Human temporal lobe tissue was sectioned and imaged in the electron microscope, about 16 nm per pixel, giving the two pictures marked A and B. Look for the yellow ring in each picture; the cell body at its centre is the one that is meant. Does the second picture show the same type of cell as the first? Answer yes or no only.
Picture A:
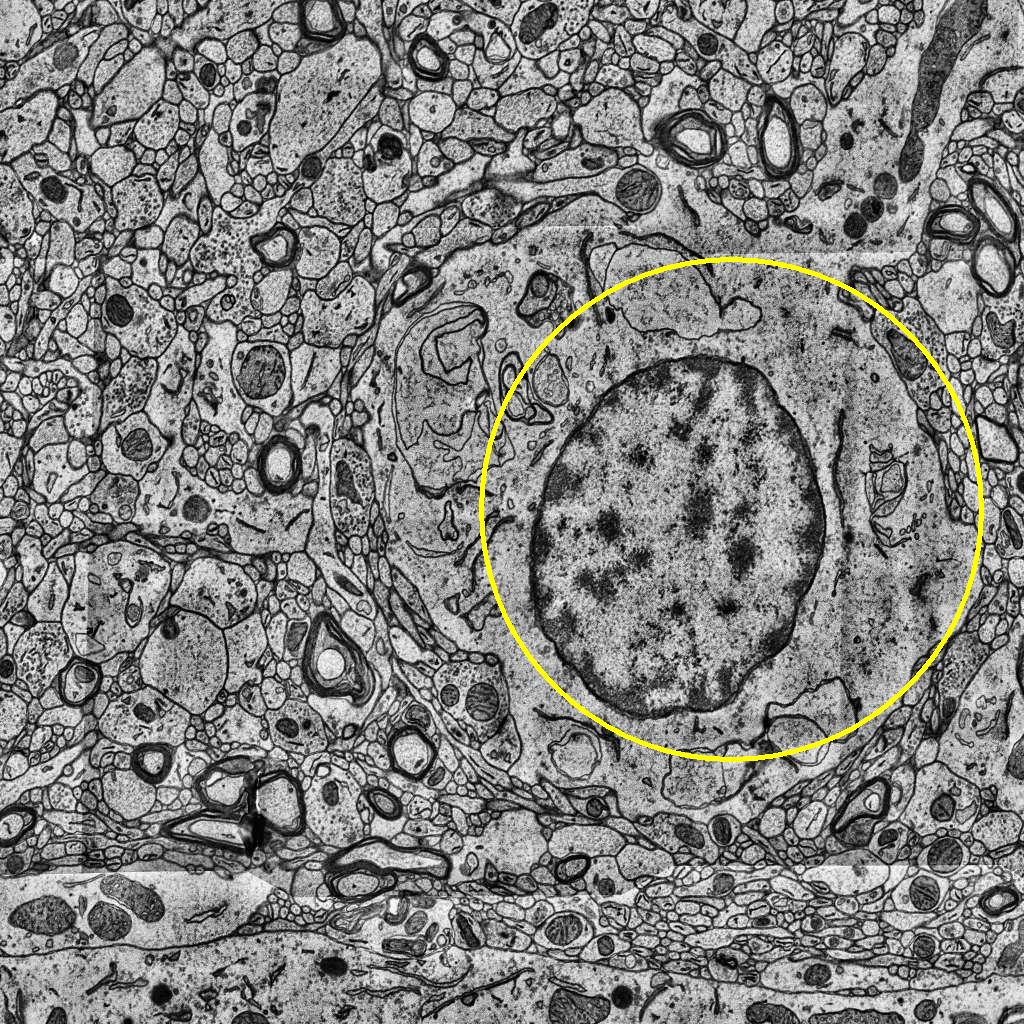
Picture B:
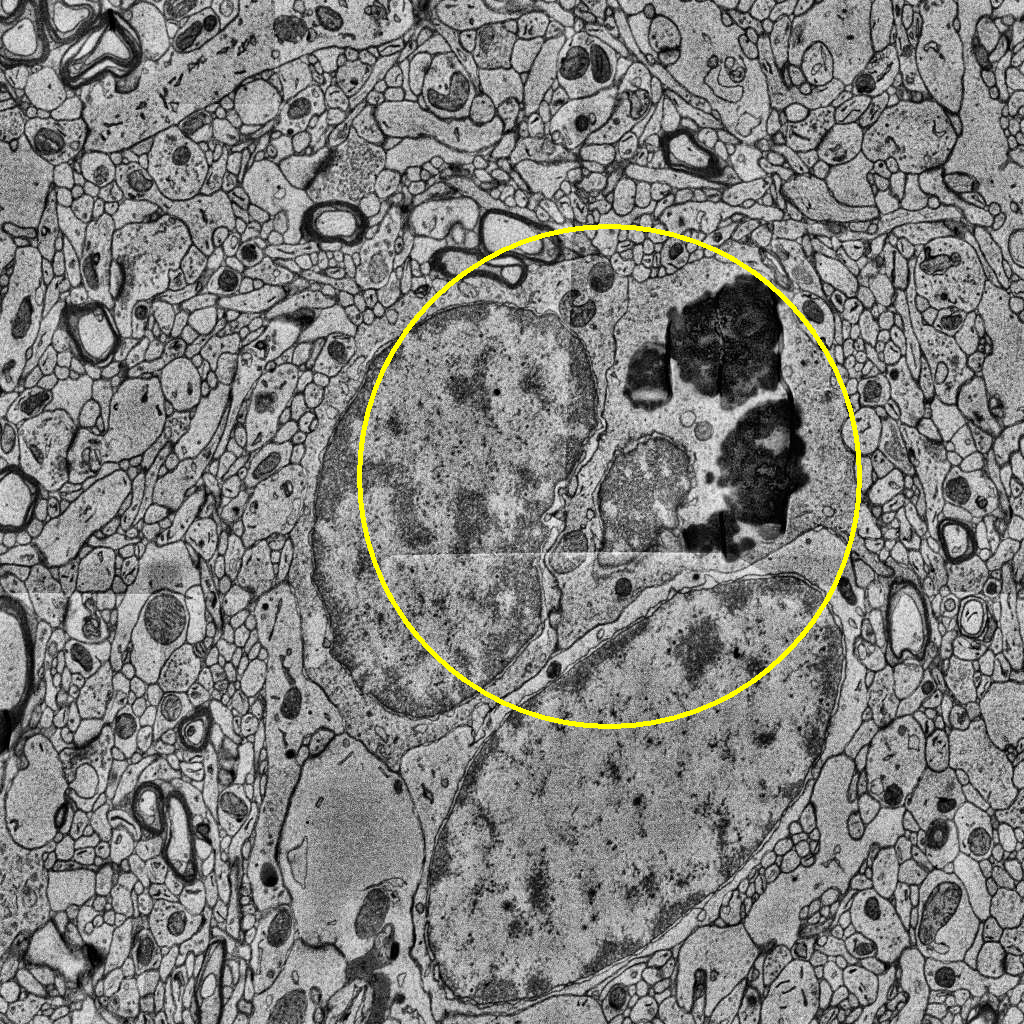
no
